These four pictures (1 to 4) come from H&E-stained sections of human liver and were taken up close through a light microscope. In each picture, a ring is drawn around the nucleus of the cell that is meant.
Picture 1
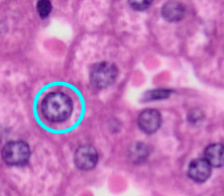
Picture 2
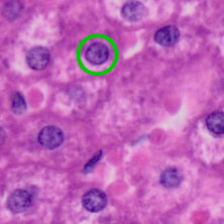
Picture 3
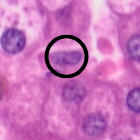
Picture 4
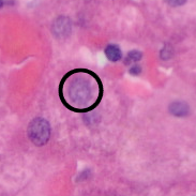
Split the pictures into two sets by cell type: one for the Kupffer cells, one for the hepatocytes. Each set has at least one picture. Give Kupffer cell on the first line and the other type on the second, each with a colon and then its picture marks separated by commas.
Kupffer cell: 3
hepatocyte: 1, 2, 4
